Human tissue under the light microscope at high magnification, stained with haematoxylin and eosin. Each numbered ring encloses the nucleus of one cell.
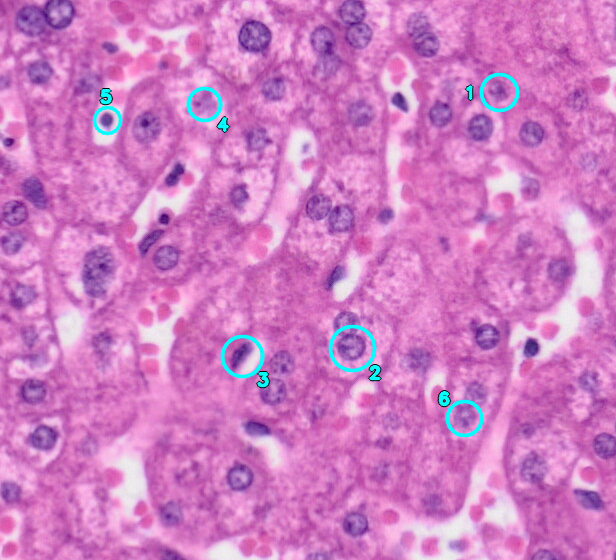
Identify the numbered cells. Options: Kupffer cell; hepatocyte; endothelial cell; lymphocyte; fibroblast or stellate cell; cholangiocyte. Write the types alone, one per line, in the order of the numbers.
hepatocyte
hepatocyte
Kupffer cell
hepatocyte
lymphocyte
hepatocyte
